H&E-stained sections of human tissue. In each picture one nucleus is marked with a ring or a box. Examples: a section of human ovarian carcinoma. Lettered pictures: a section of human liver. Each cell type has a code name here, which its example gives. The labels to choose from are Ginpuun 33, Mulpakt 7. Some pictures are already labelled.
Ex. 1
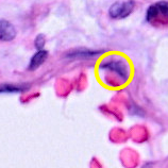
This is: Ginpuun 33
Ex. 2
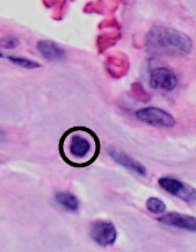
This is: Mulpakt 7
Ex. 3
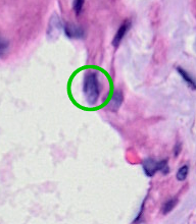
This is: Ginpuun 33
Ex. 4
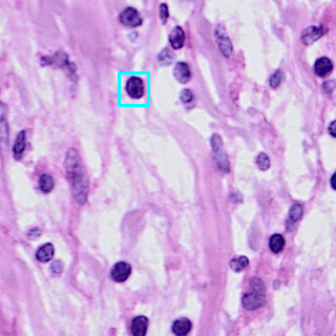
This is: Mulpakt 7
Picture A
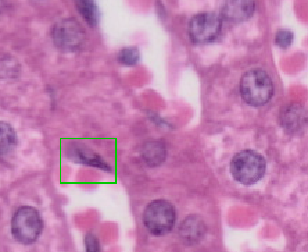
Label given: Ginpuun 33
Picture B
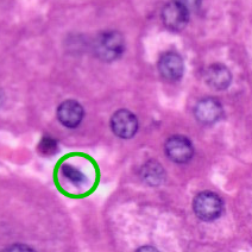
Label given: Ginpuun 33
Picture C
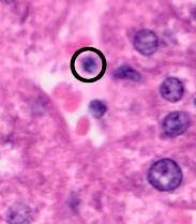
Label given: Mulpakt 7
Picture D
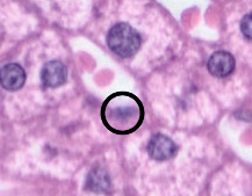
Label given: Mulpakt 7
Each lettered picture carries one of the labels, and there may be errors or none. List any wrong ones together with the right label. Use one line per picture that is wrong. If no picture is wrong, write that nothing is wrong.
B: Mulpakt 7, not Ginpuun 33
D: Ginpuun 33, not Mulpakt 7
